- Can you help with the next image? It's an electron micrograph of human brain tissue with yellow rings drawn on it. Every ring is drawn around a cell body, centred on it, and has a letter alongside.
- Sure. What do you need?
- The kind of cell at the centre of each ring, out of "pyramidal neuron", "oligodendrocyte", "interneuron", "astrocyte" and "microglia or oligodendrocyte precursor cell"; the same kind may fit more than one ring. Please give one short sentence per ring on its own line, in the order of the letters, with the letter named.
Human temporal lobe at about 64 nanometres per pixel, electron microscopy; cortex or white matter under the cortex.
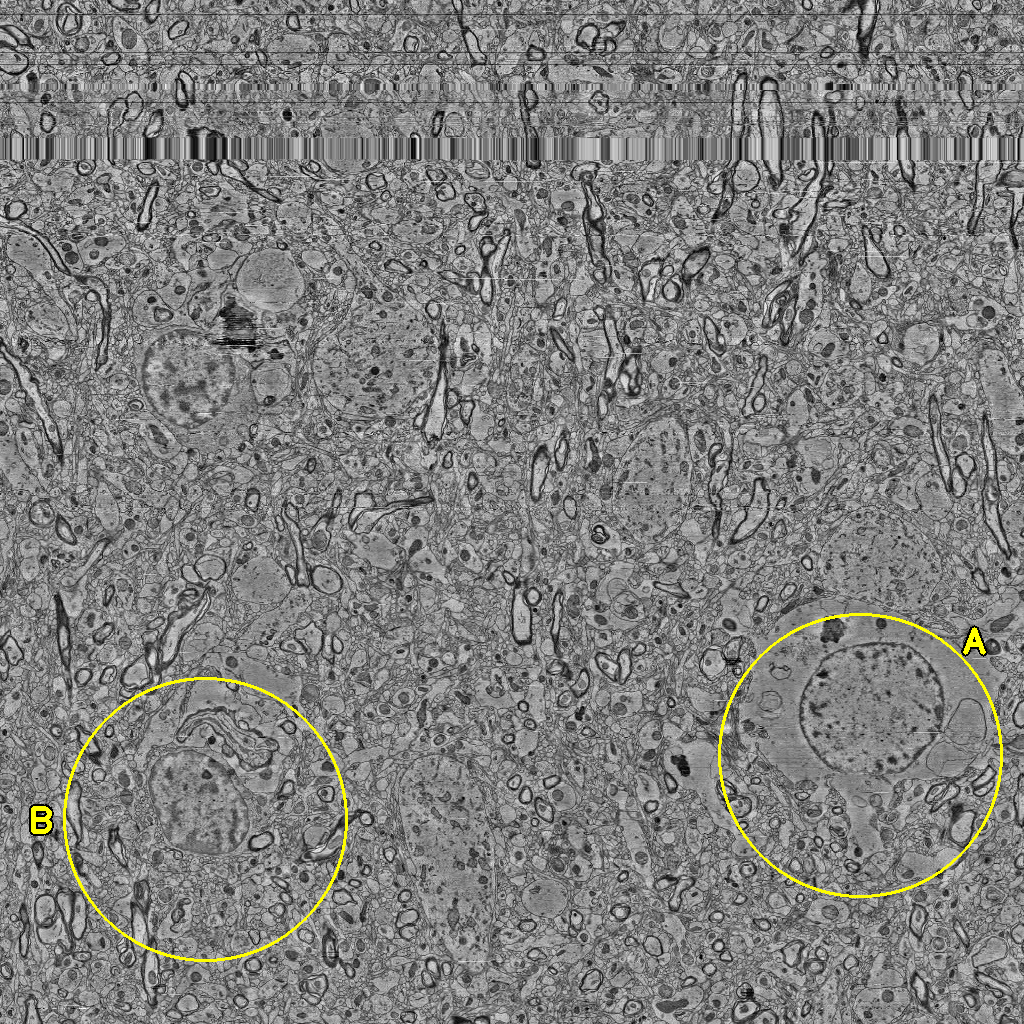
Ring A picks out an astrocyte.
Ring B picks out an oligodendrocyte.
